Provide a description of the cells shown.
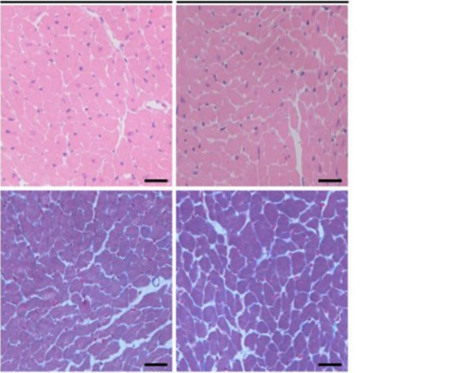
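These sections show heart muscle made of cardiomyocytes cut mostly across or obliquely. In the lower row the muscle fibres stain purple and the narrow spaces around them are pale blue, outlining each fibre. The fibres are of fairly even size in all four fields, with no broad scars, no large areas of blue-stained tissue between fibres and no inflammatory cell clusters.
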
